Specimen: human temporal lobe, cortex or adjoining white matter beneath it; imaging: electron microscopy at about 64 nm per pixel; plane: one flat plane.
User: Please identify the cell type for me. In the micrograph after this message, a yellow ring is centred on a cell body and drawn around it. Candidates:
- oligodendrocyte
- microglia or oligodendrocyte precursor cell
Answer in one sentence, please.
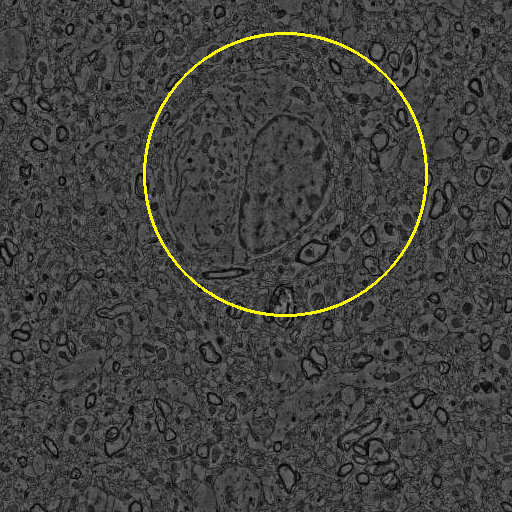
The ring is drawn around the cell body of a microglial cell or oligodendrocyte precursor cell.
